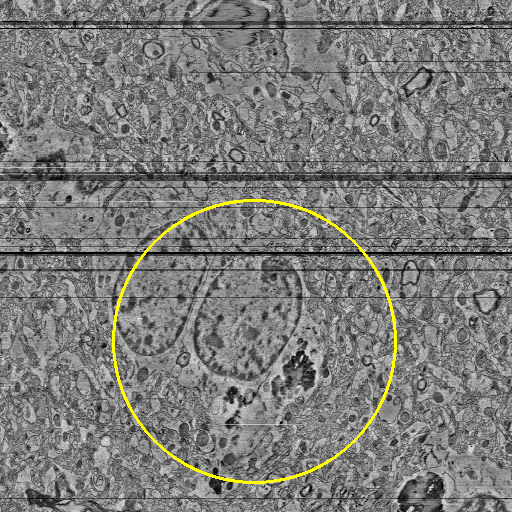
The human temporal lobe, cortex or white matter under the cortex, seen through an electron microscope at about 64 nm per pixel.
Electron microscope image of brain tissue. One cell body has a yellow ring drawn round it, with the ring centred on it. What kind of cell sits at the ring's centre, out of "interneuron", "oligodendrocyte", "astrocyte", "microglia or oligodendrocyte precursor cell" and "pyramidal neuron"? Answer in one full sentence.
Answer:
It is an astrocyte whose cell body sits at the centre of the yellow ring.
